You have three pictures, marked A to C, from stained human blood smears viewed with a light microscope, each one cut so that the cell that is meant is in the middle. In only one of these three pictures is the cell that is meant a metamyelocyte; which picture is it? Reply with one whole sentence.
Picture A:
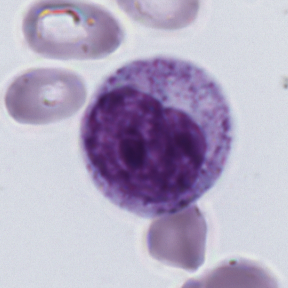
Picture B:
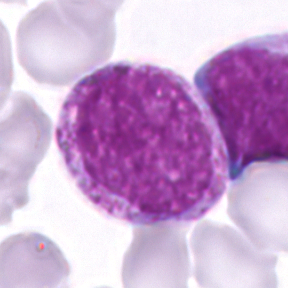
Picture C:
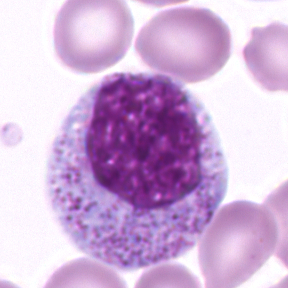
The metamyelocyte is the one in picture A.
